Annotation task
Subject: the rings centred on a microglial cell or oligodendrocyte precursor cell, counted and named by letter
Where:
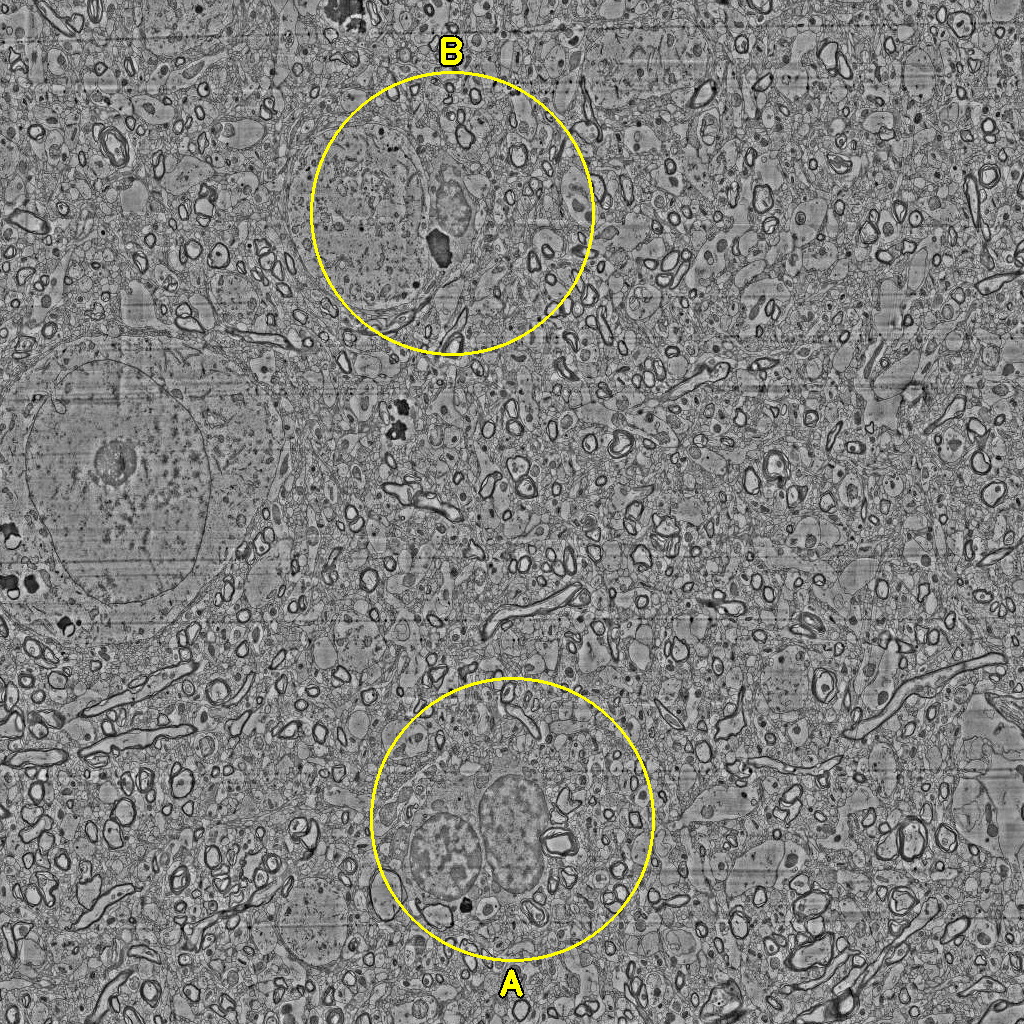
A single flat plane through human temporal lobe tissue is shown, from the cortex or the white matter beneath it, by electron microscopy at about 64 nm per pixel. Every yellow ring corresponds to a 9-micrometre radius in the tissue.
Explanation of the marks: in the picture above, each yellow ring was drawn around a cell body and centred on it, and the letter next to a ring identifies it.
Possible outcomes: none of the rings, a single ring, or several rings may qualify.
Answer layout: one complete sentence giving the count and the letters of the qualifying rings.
In this electron micrograph, no ring is centred on a microglial cell or oligodendrocyte precursor cell, so the count is zero.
